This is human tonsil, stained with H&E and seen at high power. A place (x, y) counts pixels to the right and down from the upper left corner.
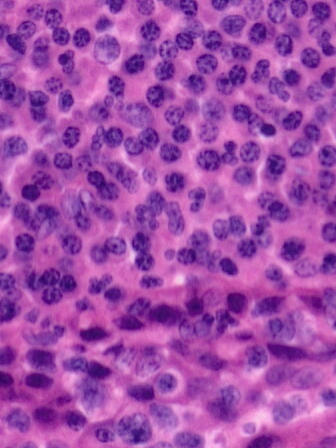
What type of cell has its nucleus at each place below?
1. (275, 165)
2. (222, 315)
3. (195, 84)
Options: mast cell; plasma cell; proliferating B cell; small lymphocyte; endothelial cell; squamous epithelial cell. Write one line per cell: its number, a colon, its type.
1: plasma cell
2: squamous epithelial cell
3: plasma cell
